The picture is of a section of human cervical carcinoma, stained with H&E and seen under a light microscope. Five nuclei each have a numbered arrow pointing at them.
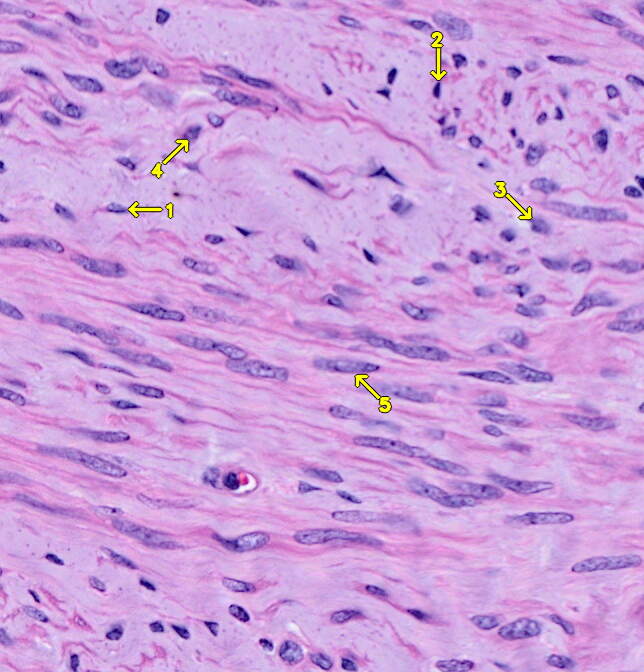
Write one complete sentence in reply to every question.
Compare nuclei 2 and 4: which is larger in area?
Nucleus 4 is larger, with an area about 2 times that of nucleus 2.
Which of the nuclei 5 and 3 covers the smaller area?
With nucleus 5 about 2.5 times its size, nucleus 3 is the smaller of the two.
